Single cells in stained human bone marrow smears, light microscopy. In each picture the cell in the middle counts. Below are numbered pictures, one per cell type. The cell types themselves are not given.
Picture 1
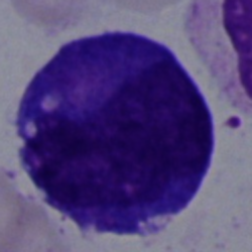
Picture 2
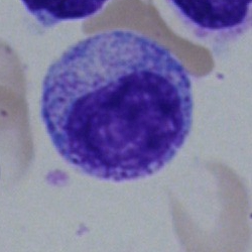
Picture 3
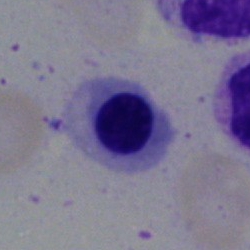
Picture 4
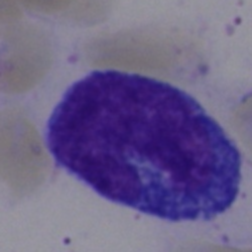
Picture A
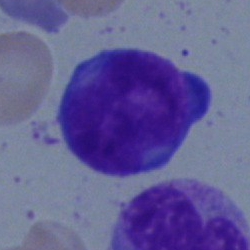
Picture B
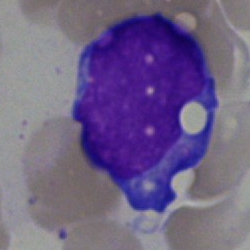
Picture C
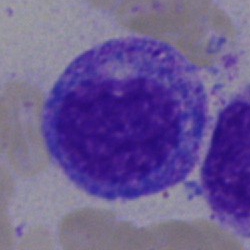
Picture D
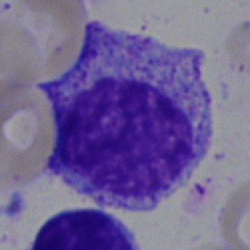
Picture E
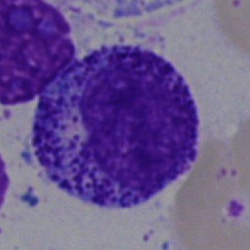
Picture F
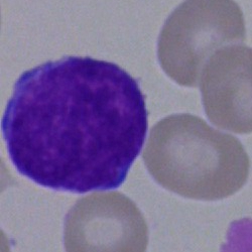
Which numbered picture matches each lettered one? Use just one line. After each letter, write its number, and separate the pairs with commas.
A 1, B 1, C 4, D 2, E 4, F 1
